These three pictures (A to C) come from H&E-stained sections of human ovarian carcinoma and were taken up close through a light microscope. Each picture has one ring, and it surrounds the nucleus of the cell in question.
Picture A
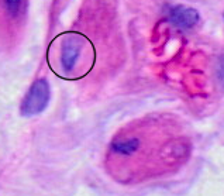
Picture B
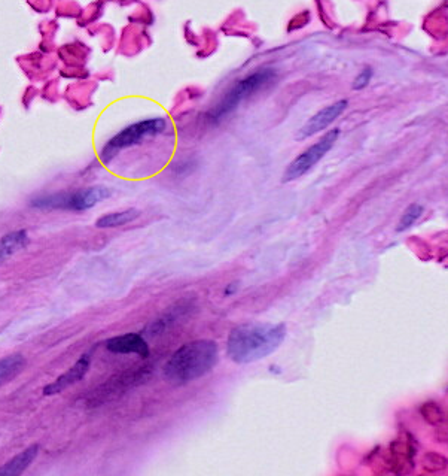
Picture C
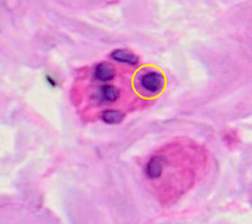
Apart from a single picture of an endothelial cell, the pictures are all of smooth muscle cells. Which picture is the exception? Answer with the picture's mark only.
B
